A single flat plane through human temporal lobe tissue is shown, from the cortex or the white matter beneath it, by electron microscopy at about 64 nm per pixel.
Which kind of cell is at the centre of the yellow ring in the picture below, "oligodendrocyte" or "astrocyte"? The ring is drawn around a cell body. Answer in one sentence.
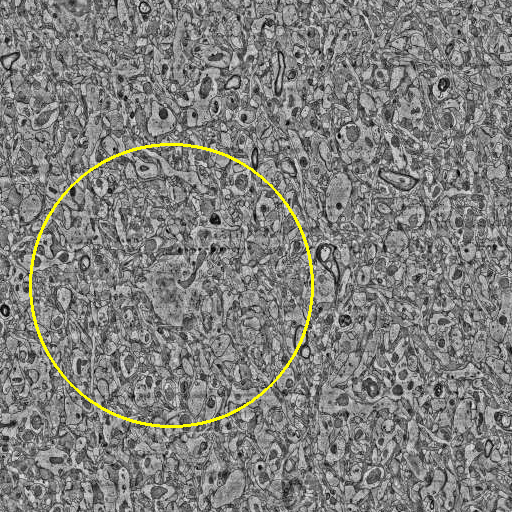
The ring's central cell is an astrocyte.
